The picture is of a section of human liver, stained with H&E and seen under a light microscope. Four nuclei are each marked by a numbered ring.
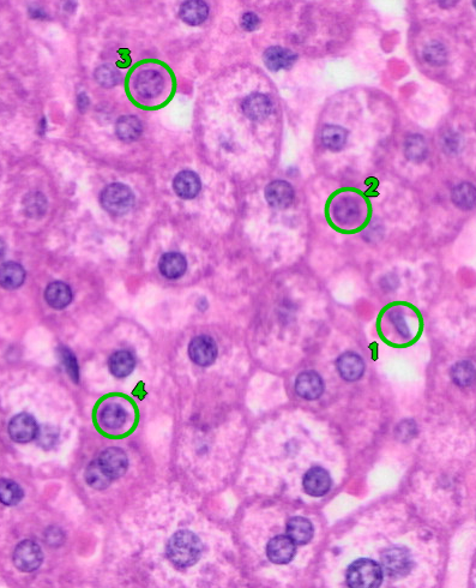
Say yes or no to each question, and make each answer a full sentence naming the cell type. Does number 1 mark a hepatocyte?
No, it is a Kupffer cell that is marked with number 1, not a hepatocyte.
